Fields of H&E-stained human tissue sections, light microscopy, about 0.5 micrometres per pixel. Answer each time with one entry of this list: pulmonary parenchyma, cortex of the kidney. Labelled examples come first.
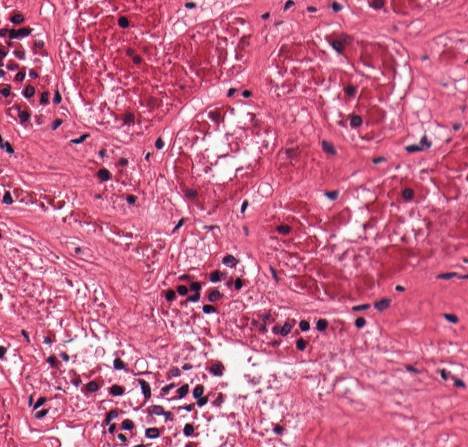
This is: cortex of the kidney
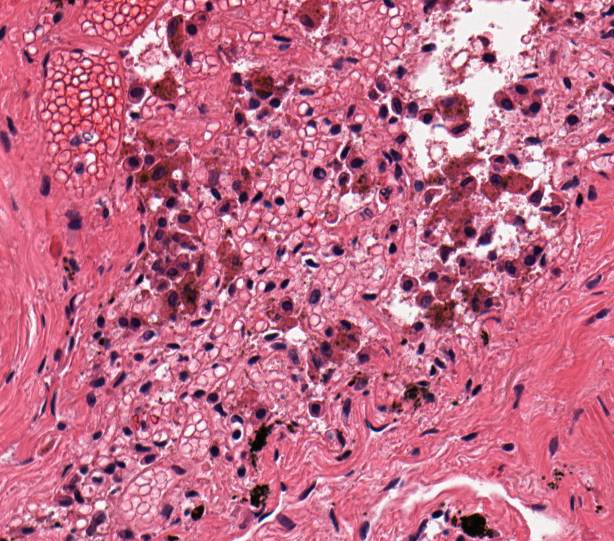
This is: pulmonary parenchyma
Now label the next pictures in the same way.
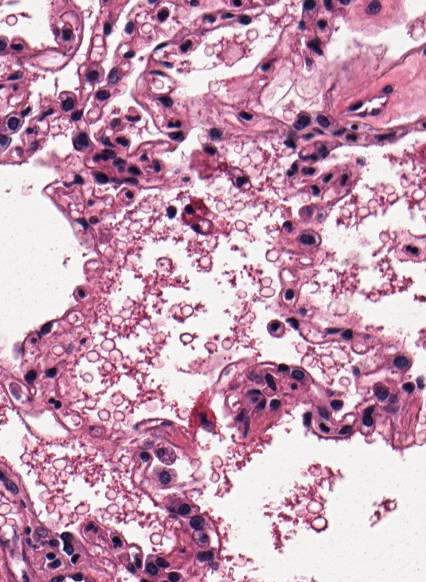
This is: pulmonary parenchyma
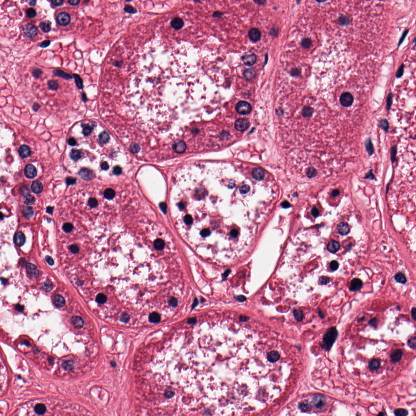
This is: cortex of the kidney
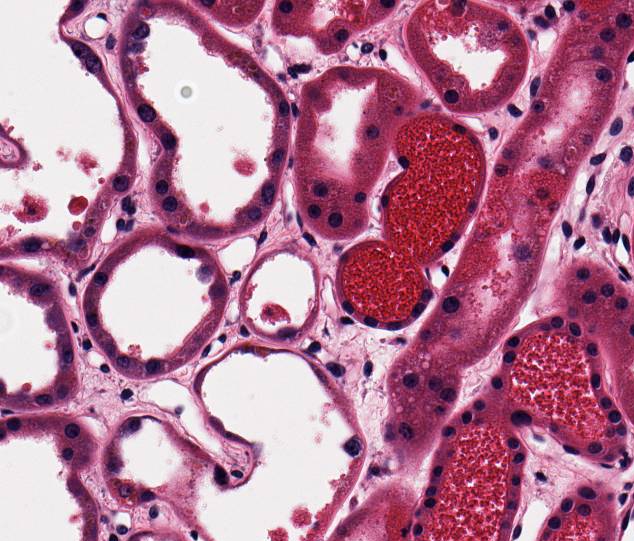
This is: cortex of the kidney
